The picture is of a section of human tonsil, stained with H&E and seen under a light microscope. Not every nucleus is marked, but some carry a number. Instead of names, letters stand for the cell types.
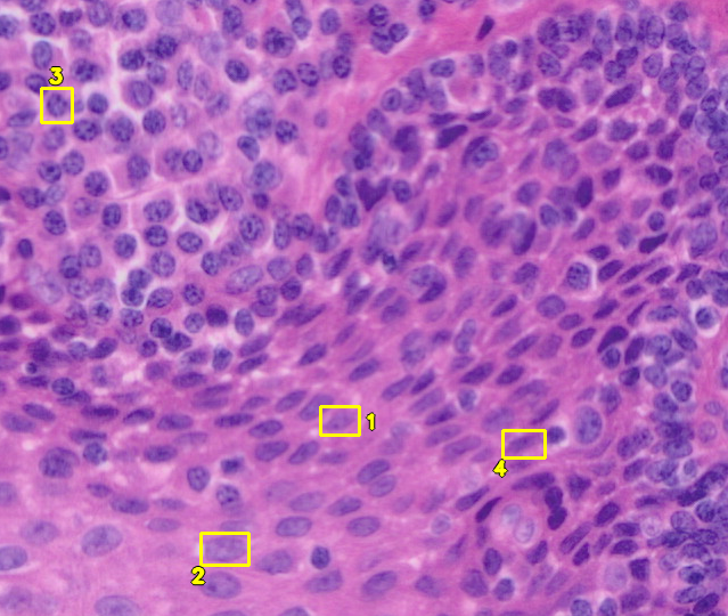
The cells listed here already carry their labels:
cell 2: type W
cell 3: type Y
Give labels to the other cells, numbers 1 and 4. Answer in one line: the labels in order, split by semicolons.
type W; type W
